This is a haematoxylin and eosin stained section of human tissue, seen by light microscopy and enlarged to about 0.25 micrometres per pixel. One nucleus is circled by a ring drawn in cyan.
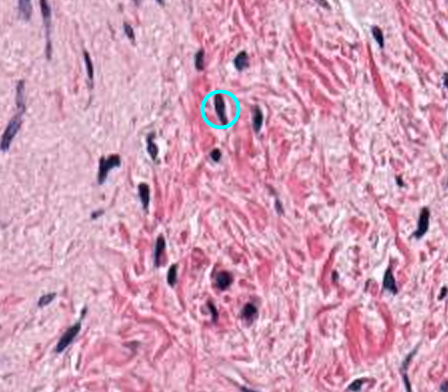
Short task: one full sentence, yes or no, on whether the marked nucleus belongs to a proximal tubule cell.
No, what the marked nucleus belongs to is a supporting cell, not a proximal tubule cell.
